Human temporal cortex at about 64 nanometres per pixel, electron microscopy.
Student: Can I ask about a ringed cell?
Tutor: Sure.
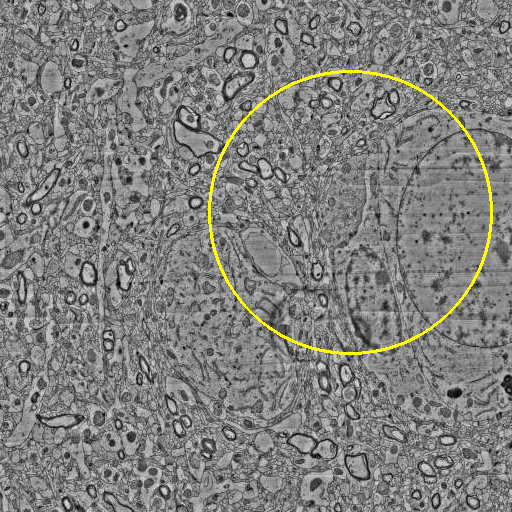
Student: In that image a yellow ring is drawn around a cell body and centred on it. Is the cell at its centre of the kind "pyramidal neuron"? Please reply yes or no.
No, the cell is of another kind.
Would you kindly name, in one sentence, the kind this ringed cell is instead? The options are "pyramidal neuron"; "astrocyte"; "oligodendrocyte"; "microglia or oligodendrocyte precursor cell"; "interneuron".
The cell circled by the yellow ring is an oligodendrocyte.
